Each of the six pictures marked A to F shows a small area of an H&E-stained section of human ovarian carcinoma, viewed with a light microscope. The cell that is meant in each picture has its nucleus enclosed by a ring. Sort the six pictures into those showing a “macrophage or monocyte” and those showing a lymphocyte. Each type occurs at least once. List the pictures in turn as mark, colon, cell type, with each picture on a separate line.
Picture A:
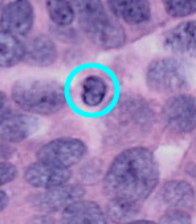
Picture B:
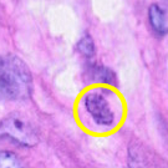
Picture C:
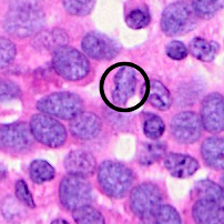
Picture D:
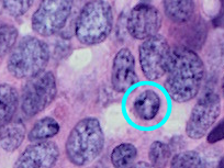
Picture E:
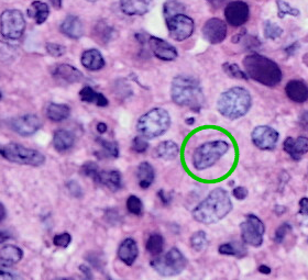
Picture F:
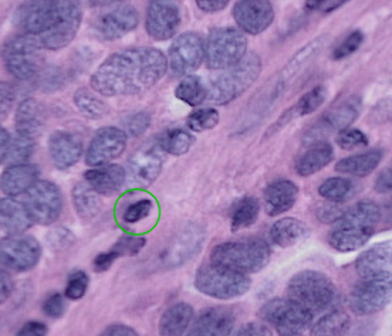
A: lymphocyte
B: macrophage or monocyte
C: macrophage or monocyte
D: macrophage or monocyte
E: macrophage or monocyte
F: lymphocyte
